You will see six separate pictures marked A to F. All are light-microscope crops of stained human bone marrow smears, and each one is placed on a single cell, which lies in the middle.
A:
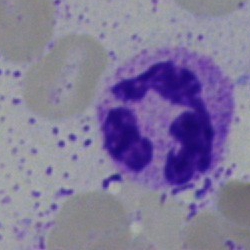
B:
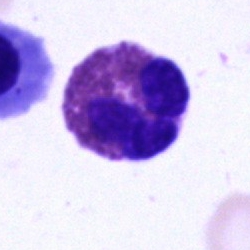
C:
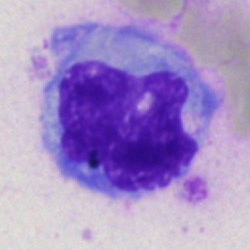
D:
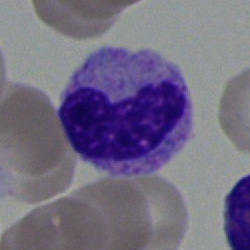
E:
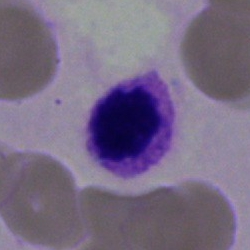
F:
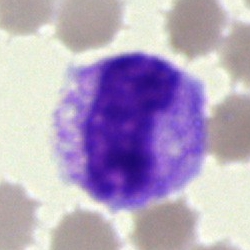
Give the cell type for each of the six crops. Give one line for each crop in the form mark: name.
A: segmented neutrophil
B: eosinophil
C: monocyte
D: metamyelocyte
E: basophil
F: band neutrophil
